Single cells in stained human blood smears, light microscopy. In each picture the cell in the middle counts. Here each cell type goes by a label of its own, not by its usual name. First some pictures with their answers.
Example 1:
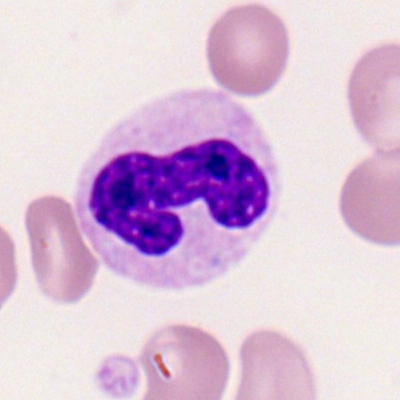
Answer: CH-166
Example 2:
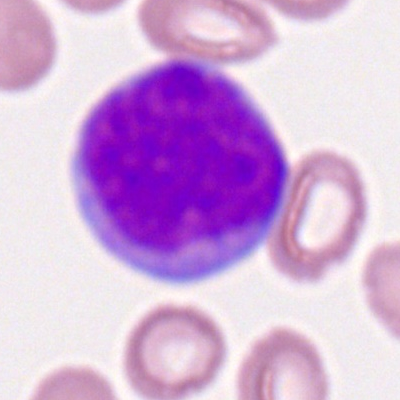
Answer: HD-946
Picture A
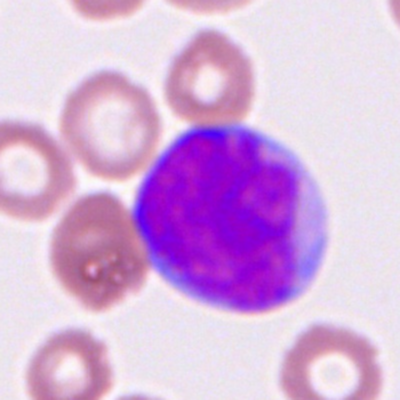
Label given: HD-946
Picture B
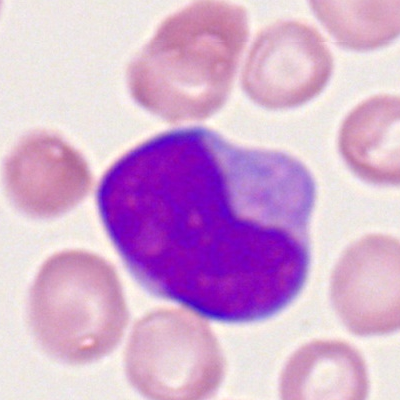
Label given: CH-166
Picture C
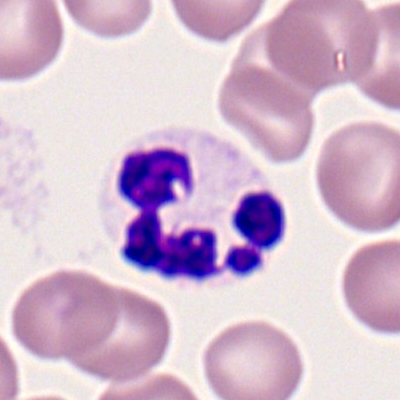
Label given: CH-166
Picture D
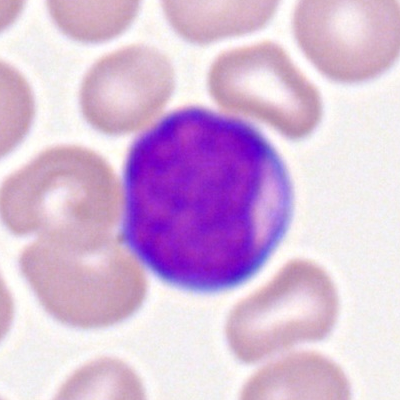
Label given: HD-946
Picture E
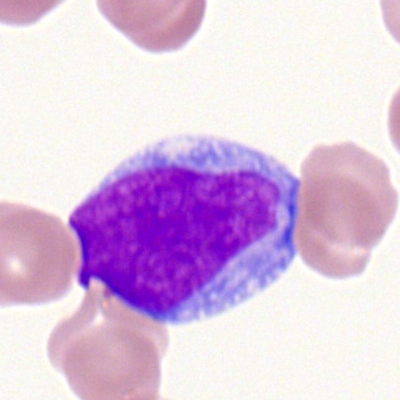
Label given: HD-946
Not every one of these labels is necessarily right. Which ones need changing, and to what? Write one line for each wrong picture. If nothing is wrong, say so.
B: change CH-166 to HD-946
